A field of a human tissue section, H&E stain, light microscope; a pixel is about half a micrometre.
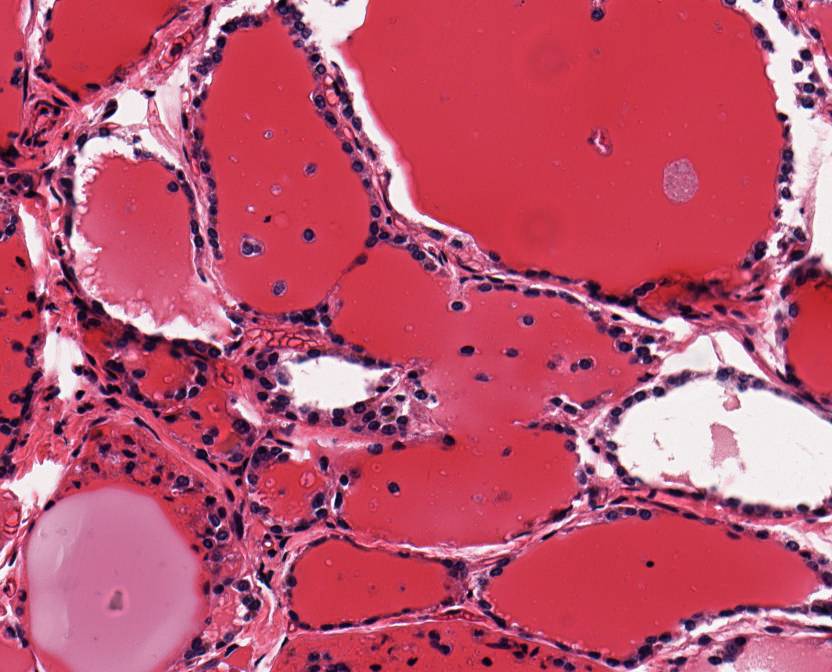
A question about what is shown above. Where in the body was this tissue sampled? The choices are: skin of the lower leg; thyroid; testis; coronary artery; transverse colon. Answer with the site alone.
thyroid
